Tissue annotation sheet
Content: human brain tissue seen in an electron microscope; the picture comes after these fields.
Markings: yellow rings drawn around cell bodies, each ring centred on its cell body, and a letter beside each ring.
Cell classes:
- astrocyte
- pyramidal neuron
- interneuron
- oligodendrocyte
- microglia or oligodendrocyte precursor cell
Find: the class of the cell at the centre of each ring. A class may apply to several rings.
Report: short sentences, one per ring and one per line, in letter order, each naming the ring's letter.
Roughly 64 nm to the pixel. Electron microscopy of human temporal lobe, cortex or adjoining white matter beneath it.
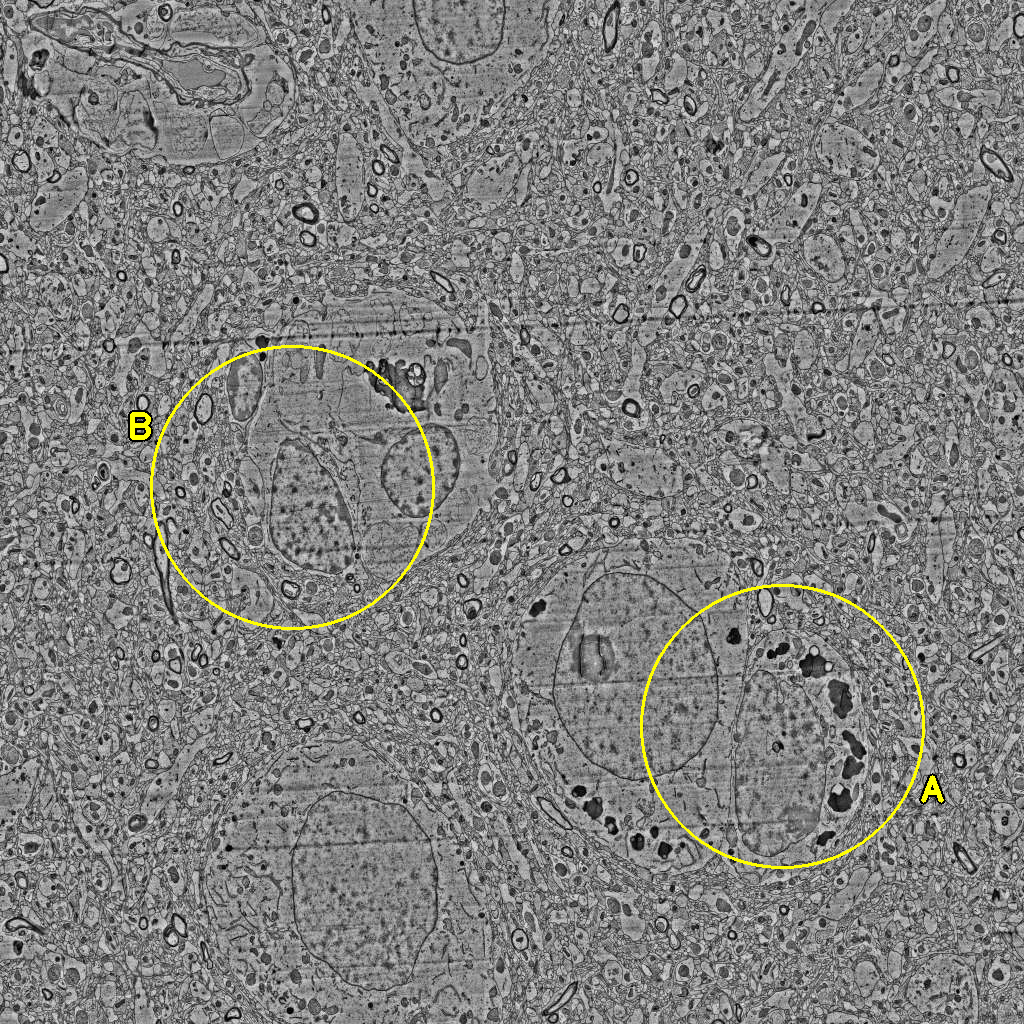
Ring A holds an interneuron at its centre.
Ring B holds a microglial cell or oligodendrocyte precursor cell at its centre.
